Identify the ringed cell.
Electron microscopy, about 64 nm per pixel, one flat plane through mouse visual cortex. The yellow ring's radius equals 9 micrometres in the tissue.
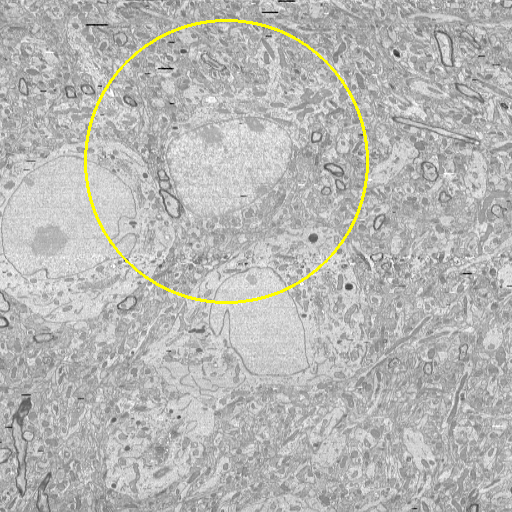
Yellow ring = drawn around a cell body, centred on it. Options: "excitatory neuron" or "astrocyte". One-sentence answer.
What the ring is centred on is an astrocyte.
